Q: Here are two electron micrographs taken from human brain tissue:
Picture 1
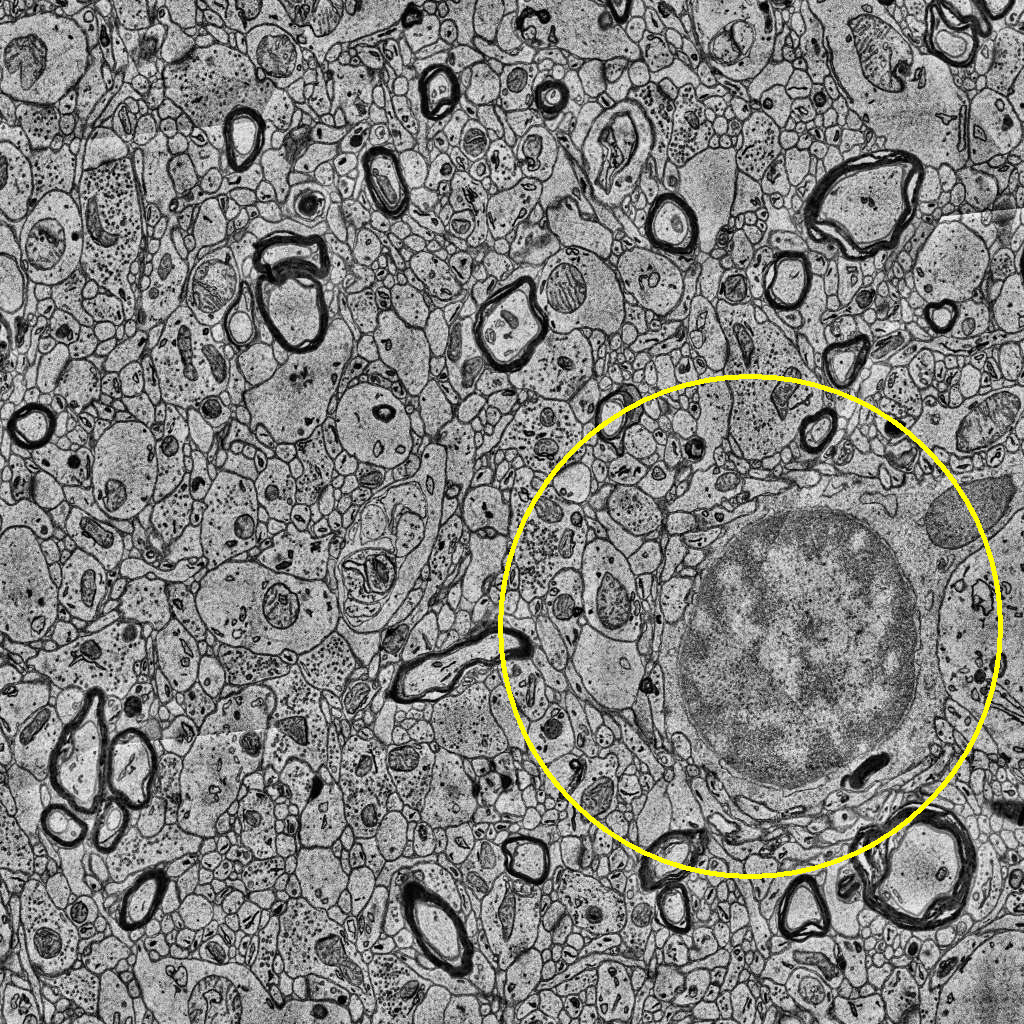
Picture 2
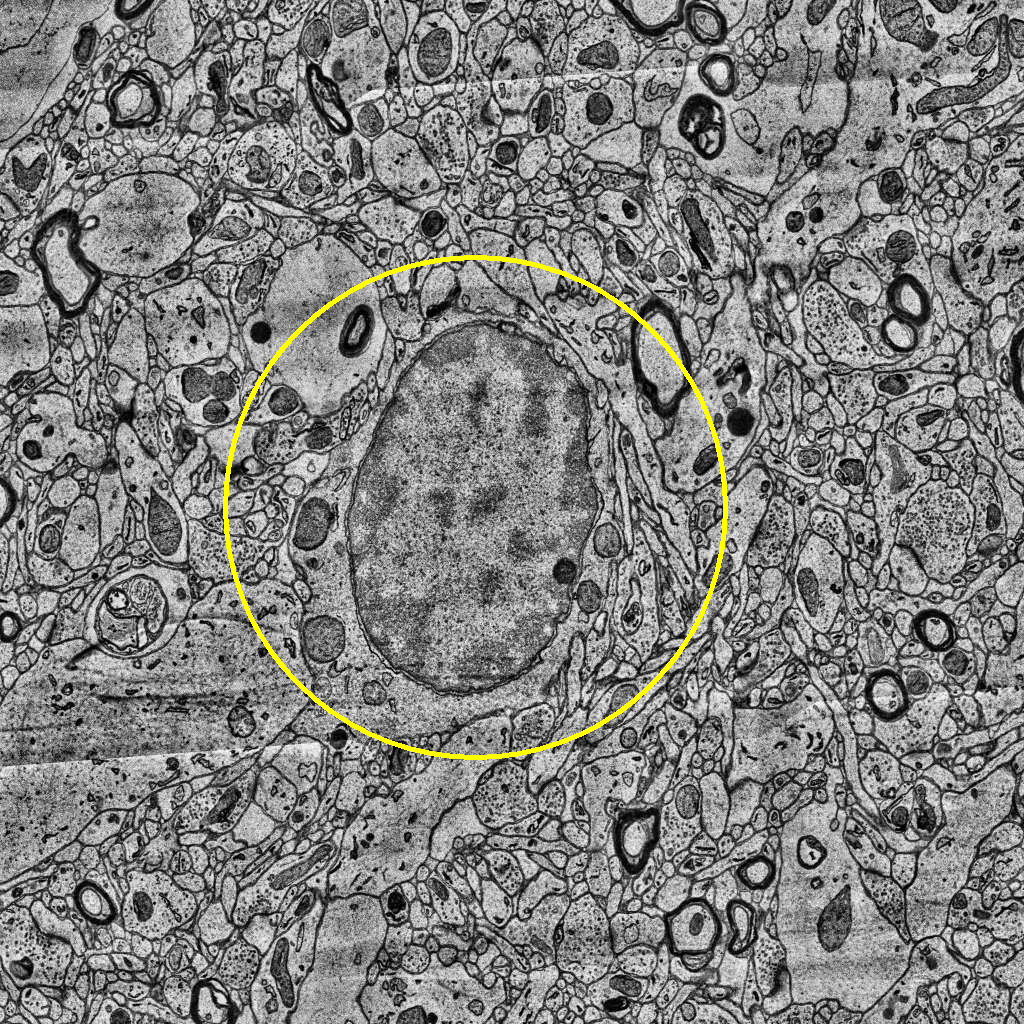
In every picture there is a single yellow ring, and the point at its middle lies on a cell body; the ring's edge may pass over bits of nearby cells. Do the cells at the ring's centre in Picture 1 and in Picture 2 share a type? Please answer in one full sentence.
Yes, the cells at the ring's centre in Picture 1 and Picture 2 share a type.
